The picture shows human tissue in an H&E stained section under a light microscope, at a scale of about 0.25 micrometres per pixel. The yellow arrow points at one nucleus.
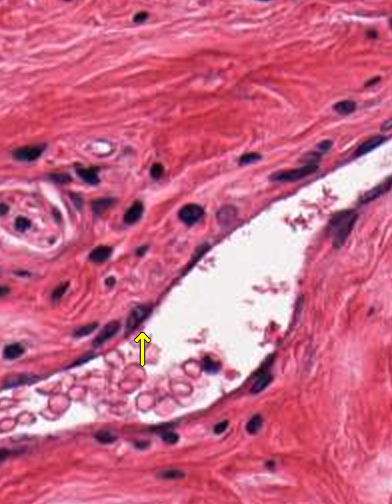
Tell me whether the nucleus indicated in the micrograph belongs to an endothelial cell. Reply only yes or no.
yes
